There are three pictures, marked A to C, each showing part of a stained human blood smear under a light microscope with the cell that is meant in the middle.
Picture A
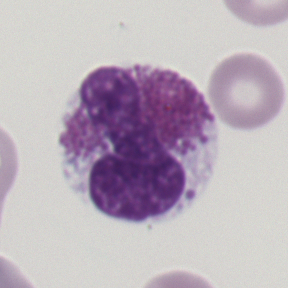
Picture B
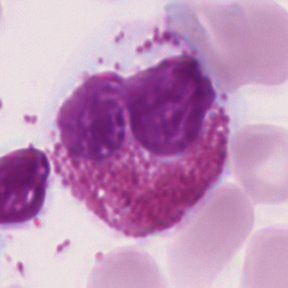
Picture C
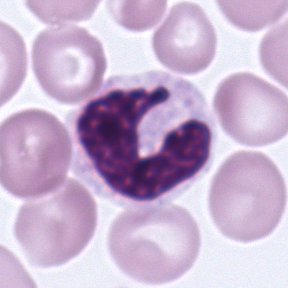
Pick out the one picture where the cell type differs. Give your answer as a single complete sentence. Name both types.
The others show eosinophils, but picture C shows a band neutrophil.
